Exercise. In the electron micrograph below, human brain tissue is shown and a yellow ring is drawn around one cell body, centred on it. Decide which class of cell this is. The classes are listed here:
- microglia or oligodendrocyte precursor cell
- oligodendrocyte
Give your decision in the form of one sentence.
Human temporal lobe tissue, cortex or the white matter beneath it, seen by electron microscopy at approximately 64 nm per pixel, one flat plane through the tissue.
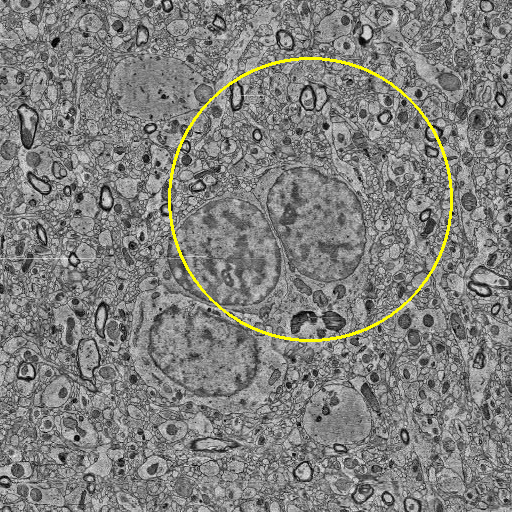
The cell body marked by the ring belongs to an oligodendrocyte.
